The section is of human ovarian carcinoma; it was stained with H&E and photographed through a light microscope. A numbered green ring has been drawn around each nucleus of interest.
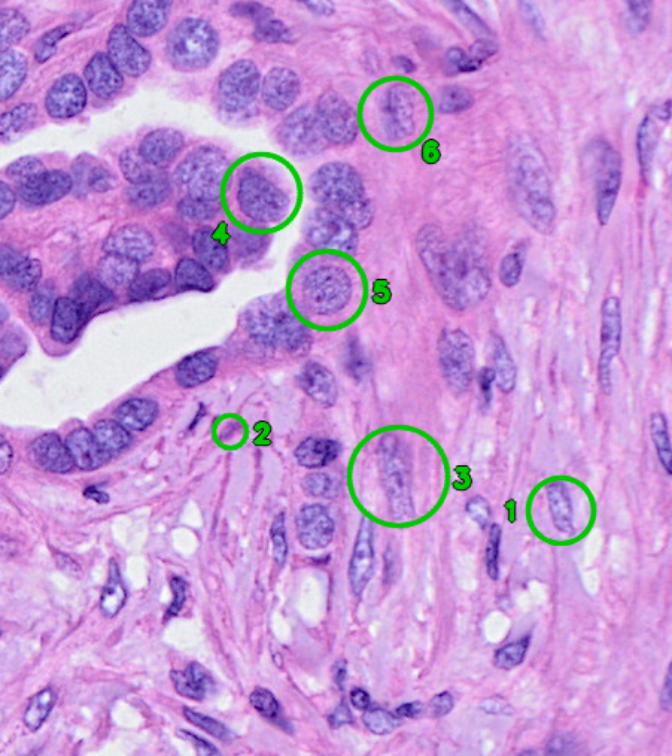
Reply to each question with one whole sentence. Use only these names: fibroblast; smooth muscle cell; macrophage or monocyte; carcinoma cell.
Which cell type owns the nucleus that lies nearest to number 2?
The nucleus nearest to number 2 is that of a fibroblast.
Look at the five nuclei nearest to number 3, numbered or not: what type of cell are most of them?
Around number 3, most of the five nearest nuclei are those of fibroblasts.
